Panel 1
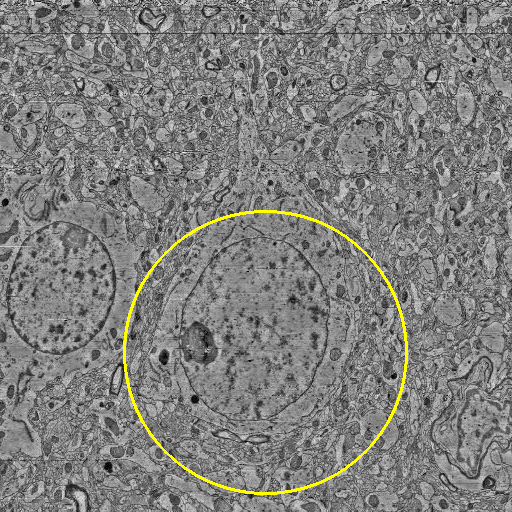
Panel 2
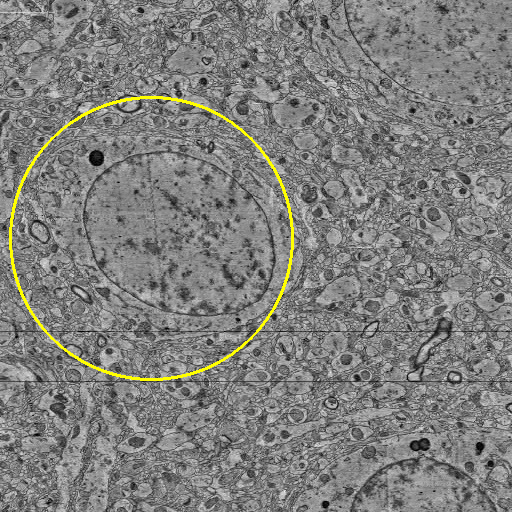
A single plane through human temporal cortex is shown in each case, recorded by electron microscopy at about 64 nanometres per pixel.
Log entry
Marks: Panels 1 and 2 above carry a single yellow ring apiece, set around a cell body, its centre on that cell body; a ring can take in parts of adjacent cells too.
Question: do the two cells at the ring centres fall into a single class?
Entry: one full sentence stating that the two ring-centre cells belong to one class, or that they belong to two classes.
The two ring-centre cells in Panels 1 and 2 belong to one class.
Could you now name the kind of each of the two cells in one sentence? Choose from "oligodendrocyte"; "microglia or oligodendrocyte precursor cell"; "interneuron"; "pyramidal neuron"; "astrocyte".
Each of the two cells is a pyramidal neuron.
